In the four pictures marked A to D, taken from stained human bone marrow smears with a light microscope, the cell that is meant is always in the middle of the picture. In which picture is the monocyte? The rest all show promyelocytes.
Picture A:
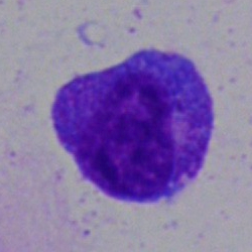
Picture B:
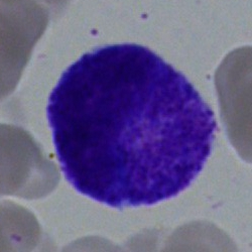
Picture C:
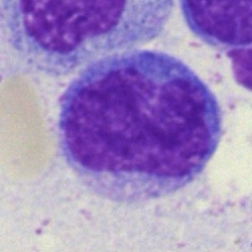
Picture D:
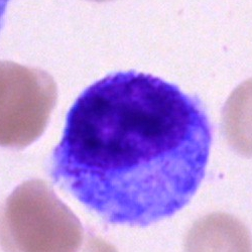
C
